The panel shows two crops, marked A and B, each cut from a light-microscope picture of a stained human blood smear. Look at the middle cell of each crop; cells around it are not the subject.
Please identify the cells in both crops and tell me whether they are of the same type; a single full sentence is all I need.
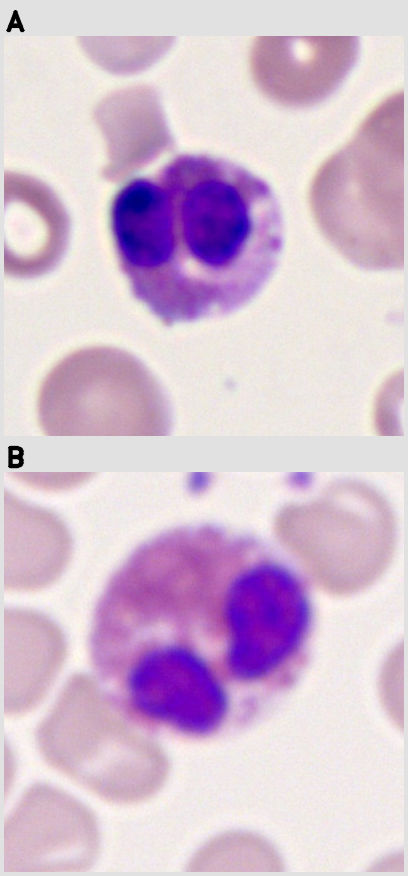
Yes, both crops show eosinophils in their central position.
